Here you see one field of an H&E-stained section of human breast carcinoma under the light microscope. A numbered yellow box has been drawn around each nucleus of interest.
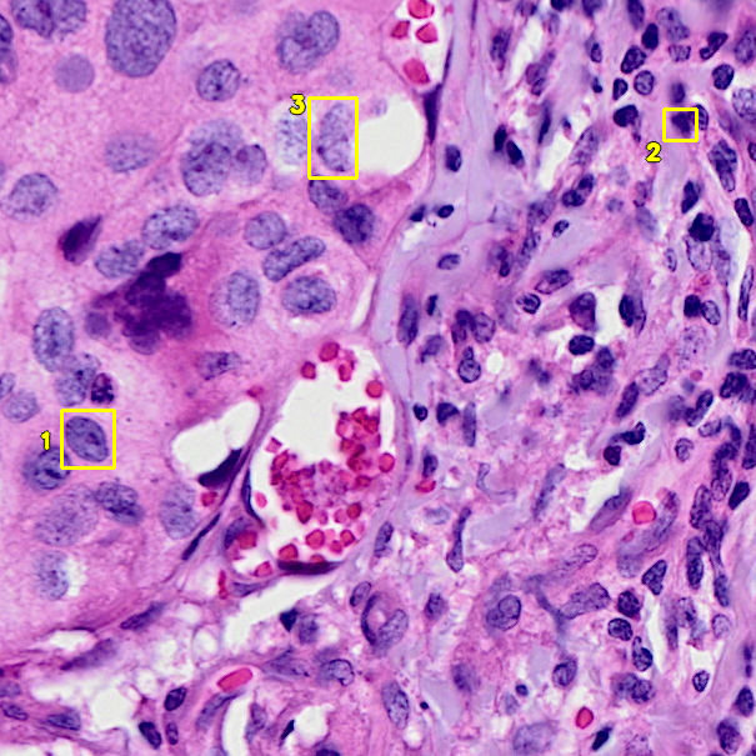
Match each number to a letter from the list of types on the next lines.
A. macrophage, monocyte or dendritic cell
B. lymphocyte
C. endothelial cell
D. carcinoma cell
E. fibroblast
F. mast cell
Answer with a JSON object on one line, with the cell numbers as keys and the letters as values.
{"1": "D", "2": "B", "3": "D"}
